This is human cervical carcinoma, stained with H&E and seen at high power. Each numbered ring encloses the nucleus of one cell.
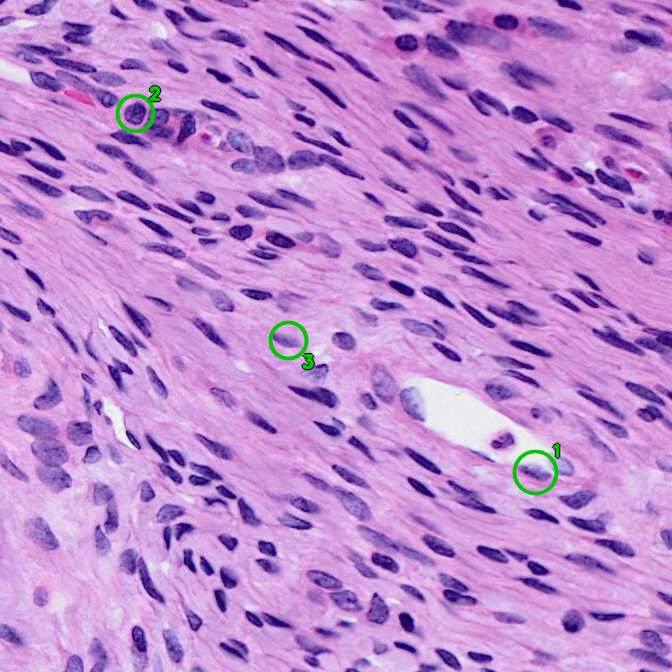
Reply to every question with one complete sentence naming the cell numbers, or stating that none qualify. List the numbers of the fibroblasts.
Only one marked cell, number 3, is a fibroblast.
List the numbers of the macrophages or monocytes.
In short, macrophages or monocytes do not occur among the numbered cells.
